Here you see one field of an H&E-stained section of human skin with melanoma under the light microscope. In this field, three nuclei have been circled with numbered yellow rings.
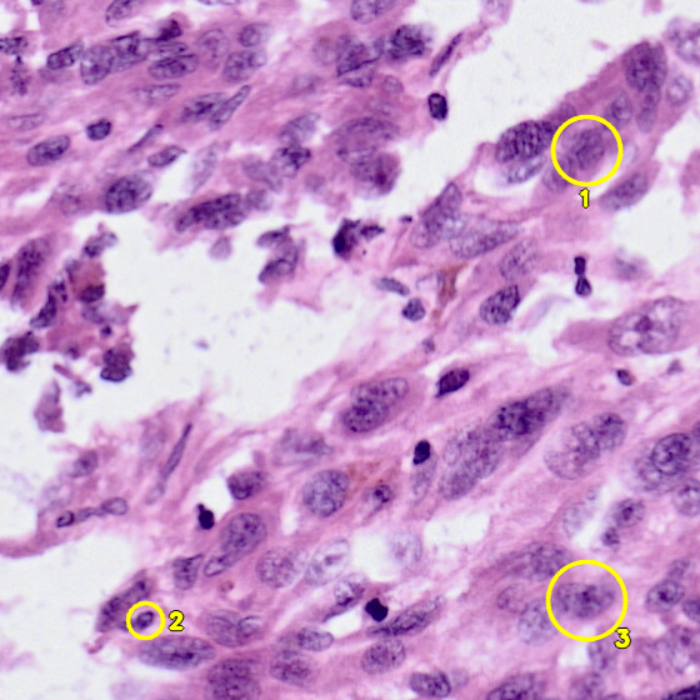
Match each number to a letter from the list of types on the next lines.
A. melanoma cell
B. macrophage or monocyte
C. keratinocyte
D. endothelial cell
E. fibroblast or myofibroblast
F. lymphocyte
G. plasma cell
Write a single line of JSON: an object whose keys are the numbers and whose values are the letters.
{"1": "A", "2": "F", "3": "A"}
